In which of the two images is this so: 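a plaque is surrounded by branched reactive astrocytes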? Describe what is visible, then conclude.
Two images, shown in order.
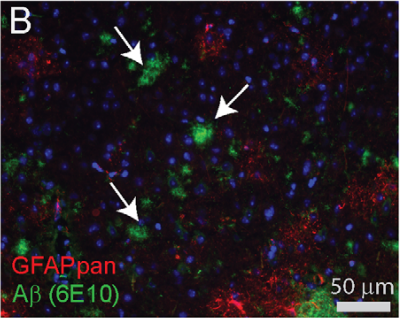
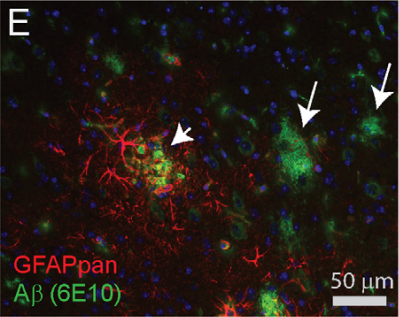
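Second image: dense red branched cells cluster around a green deposit. First image: green patches have no red branched cells gathered around them.
Hence: the second image.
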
